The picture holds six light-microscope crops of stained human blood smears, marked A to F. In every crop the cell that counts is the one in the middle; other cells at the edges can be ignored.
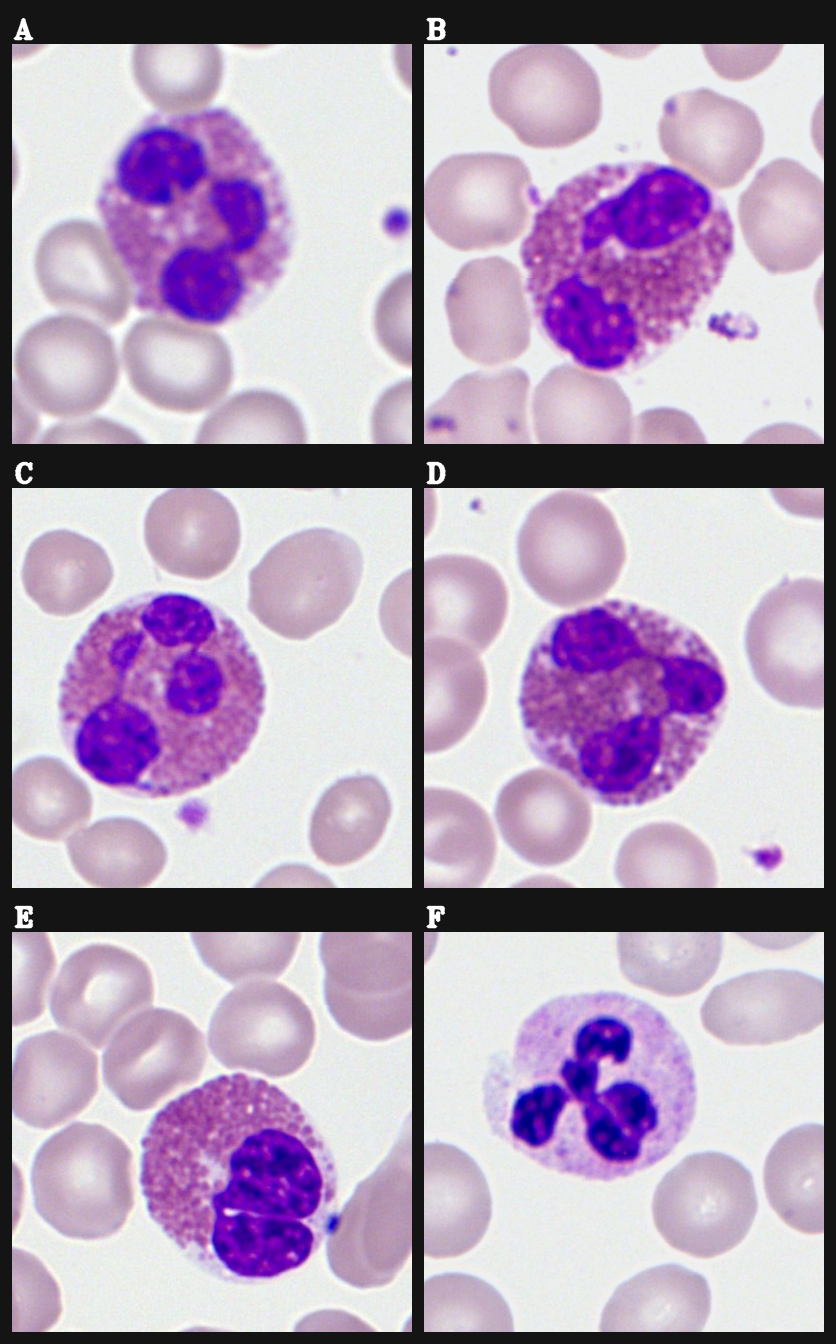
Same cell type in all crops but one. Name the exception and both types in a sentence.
Crop F does not match the others; it shows a segmented neutrophil, and they show eosinophils.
